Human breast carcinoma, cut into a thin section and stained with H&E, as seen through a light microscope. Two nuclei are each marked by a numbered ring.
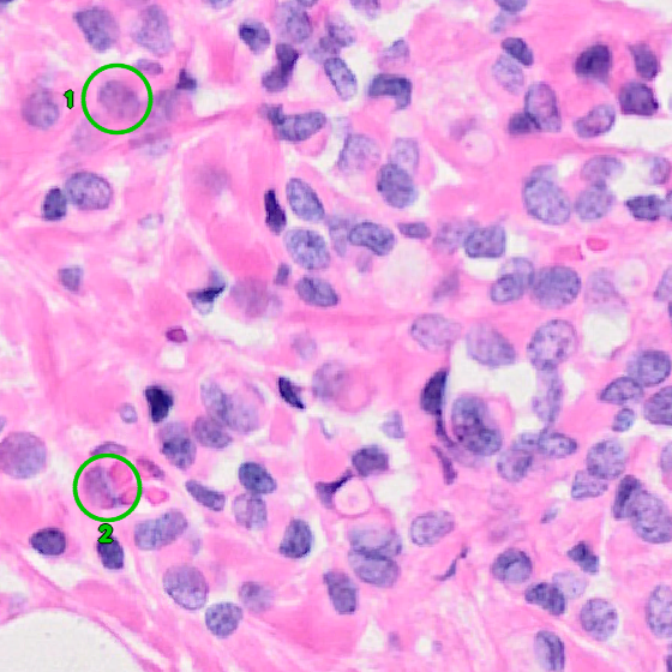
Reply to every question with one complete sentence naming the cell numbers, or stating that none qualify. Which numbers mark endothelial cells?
Among the marked cells, an endothelial cell is found only at number 2.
